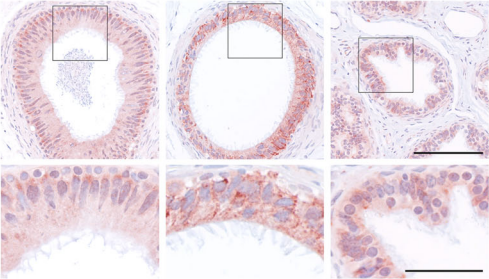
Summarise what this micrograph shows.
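The tubules are lined by a tall columnar epithelium whose oval, blue nuclei sit in a row, with a clump of sperm lying free in the lumen of one tubule. The epithelial cytoplasm carries a red-brown stain throughout, strongest in the middle section, while the surrounding thin connective tissue is mostly blue. In the right-hand section the epithelium is lower and the lumen narrower and more irregular, and the stained cells are packed around it.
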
